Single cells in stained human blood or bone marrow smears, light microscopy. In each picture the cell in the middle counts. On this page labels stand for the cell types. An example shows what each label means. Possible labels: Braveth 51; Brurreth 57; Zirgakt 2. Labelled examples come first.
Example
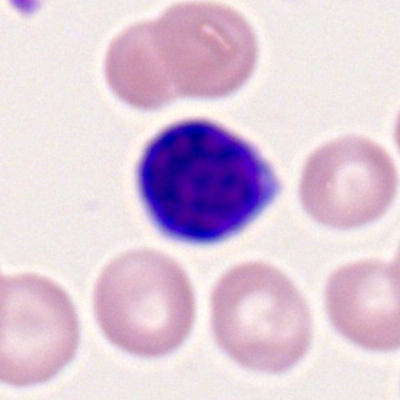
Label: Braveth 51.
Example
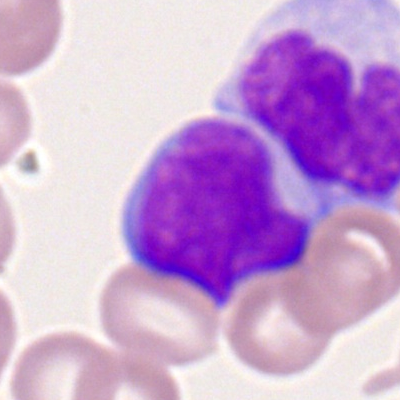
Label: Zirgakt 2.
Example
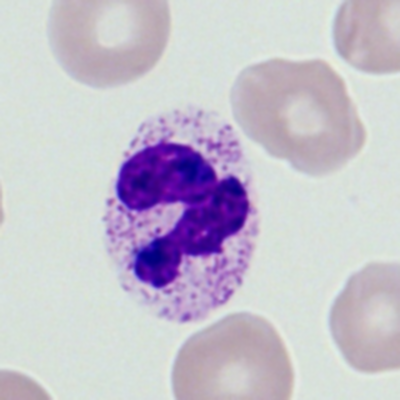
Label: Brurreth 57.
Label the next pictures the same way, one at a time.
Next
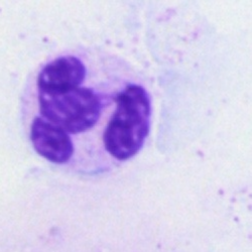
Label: Brurreth 57.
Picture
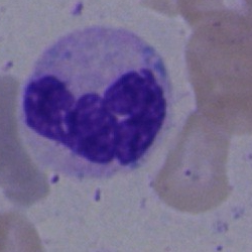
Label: Brurreth 57.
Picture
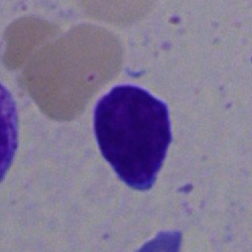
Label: Braveth 51.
